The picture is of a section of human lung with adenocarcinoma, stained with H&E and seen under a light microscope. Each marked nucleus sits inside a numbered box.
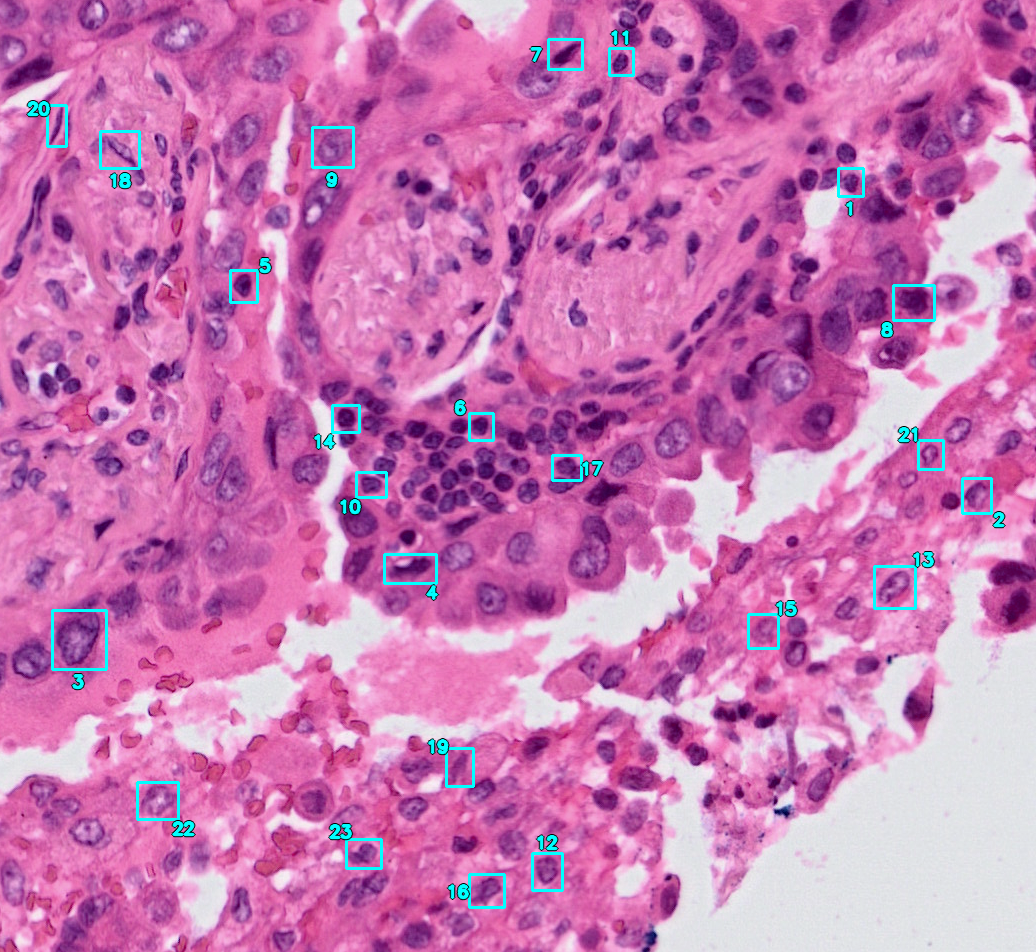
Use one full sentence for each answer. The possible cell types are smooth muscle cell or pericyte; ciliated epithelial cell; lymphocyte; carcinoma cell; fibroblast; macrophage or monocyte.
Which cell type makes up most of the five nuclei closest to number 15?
Around number 15, most of the five nearest nuclei are those of macrophages or monocytes.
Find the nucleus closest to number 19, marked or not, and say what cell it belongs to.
It is a macrophage or monocyte whose nucleus is nearest to number 19.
